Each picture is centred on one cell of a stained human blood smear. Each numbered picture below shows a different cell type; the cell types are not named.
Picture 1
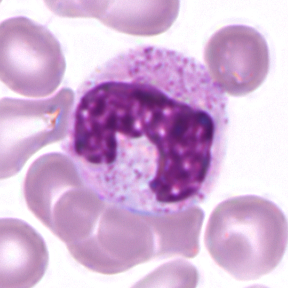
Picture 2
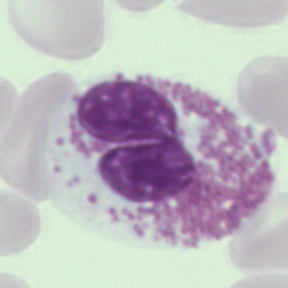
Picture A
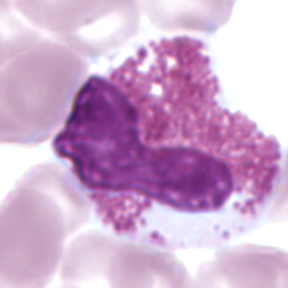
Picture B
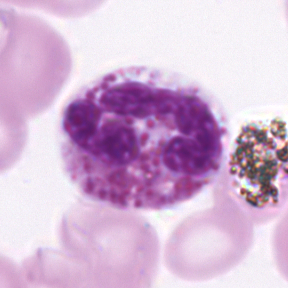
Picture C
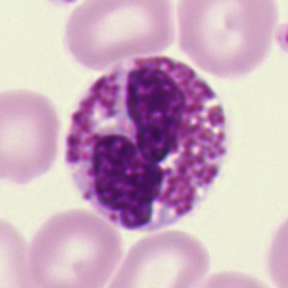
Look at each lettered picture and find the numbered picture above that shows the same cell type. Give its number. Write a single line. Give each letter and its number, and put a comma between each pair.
A 2, B 2, C 2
